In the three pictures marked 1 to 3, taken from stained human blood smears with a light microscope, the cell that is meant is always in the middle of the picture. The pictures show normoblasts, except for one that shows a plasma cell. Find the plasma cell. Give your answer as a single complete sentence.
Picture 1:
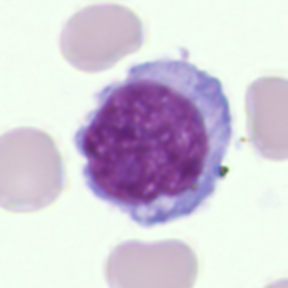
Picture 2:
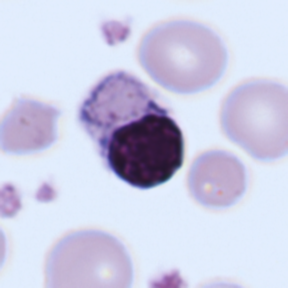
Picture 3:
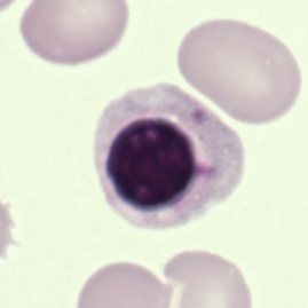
The plasma cell is the one in picture 1.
